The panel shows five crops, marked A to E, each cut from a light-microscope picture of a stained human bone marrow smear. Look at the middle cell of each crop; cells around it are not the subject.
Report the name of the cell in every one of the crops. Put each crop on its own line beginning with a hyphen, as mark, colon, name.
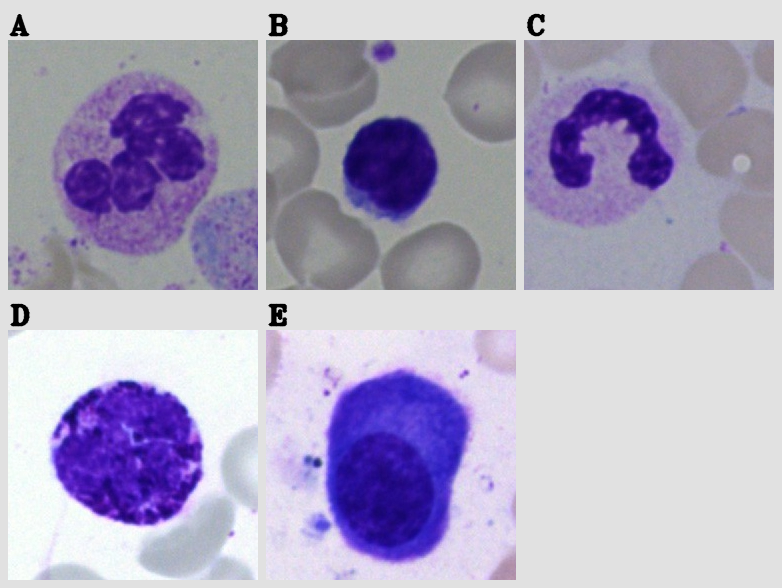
- A: segmented neutrophil
- B: lymphocyte
- C: segmented neutrophil
- D: basophil
- E: plasma cell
